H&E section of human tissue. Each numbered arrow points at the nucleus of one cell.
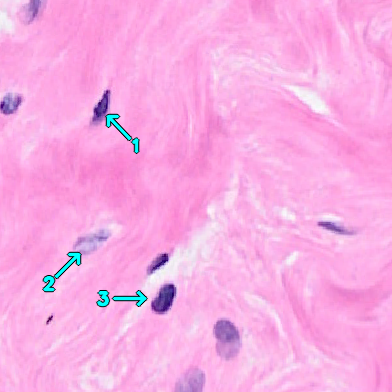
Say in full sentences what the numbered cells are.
Cell 1 is a fibroblast, cell 2 is a fibroblast and cell 3 is a lymphocyte.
